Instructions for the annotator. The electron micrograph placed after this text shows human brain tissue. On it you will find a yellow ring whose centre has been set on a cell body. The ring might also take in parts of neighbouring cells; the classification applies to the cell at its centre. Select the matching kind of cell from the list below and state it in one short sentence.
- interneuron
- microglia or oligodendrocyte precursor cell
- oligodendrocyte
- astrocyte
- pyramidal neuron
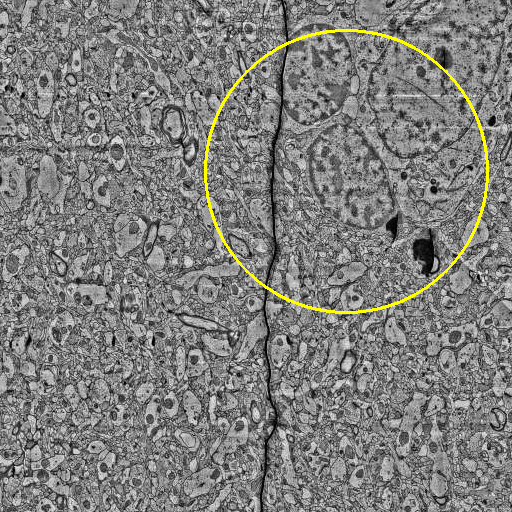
The ring is drawn on the cell body of an oligodendrocyte.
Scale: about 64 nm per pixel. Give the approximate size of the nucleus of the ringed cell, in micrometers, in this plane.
The nucleus measures about 7 by 5 micrometres, so it is clearly longer than it is wide in this plane.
